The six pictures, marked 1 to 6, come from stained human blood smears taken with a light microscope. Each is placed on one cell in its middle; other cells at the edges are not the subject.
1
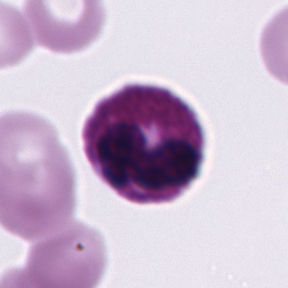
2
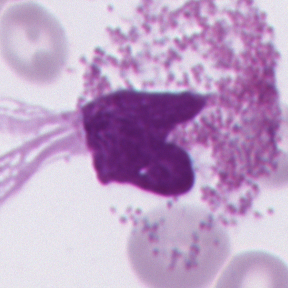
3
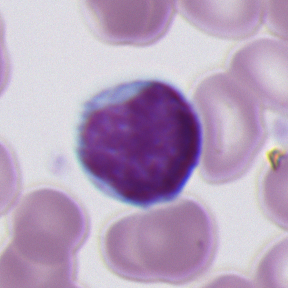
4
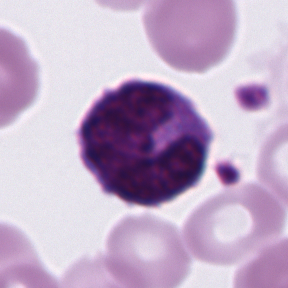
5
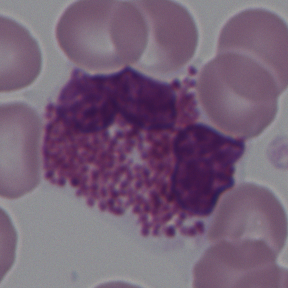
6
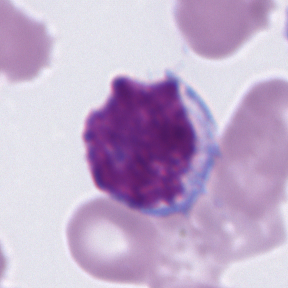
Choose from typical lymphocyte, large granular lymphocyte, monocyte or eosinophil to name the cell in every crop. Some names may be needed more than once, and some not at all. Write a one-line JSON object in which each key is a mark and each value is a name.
{"1": "eosinophil", "2": "eosinophil", "3": "typical lymphocyte", "4": "monocyte", "5": "eosinophil", "6": "typical lymphocyte"}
